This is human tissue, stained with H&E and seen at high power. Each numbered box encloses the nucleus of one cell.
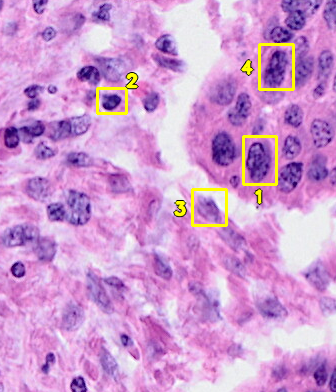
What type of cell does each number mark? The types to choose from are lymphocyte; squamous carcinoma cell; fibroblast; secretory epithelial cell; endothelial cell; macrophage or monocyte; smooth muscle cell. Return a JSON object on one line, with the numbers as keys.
{"1": "squamous carcinoma cell", "2": "lymphocyte", "3": "fibroblast", "4": "squamous carcinoma cell"}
